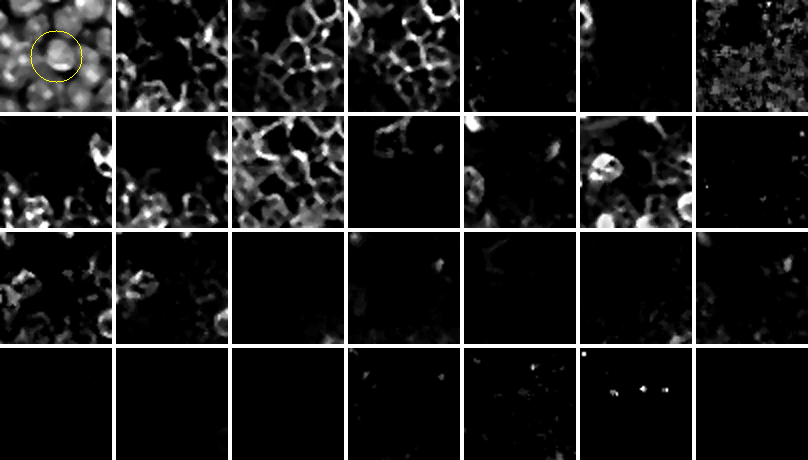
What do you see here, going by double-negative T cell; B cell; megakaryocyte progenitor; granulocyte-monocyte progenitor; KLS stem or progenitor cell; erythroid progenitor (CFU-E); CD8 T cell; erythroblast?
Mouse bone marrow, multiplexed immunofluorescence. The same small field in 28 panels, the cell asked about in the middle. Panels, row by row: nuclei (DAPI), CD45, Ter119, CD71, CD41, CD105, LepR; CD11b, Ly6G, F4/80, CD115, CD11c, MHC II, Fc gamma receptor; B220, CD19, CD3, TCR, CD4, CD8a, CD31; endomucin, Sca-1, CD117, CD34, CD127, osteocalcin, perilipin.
I see an erythroblast.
